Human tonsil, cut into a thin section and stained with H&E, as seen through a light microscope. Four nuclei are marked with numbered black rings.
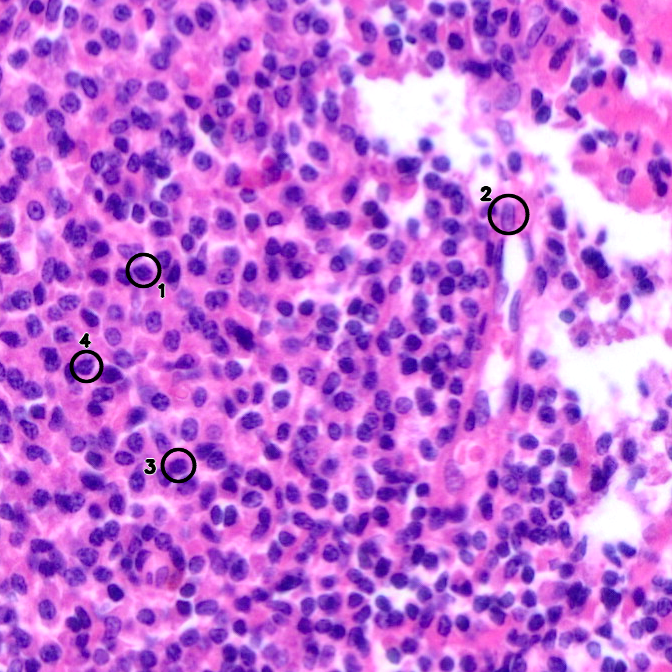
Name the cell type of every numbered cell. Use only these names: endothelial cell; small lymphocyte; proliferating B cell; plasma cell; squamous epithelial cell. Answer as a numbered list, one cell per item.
1. plasma cell
2. endothelial cell
3. plasma cell
4. plasma cell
